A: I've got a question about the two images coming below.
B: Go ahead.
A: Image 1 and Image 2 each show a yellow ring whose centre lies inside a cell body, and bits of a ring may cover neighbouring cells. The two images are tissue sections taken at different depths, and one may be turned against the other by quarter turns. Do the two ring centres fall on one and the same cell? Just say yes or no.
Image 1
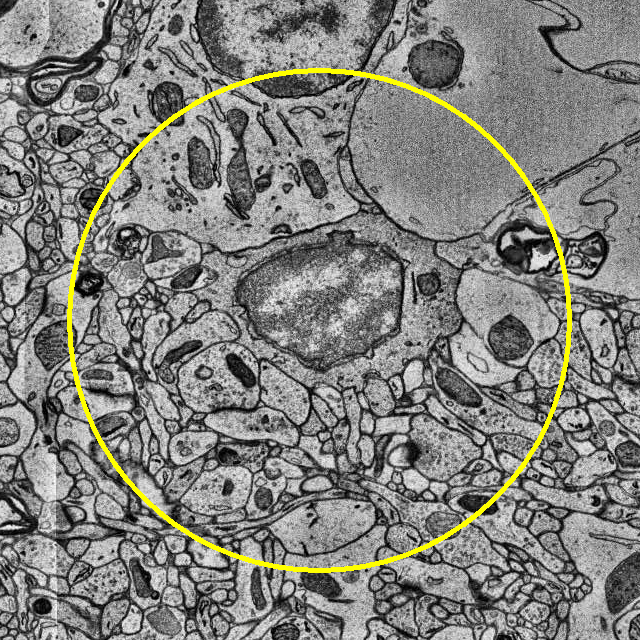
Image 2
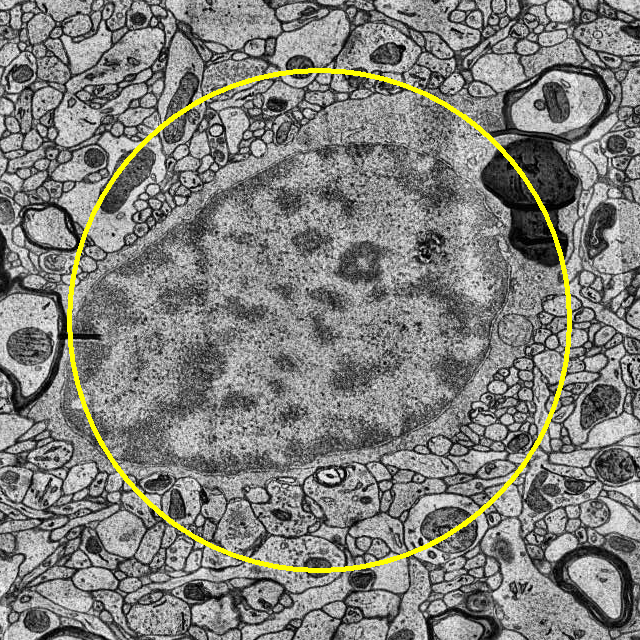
no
